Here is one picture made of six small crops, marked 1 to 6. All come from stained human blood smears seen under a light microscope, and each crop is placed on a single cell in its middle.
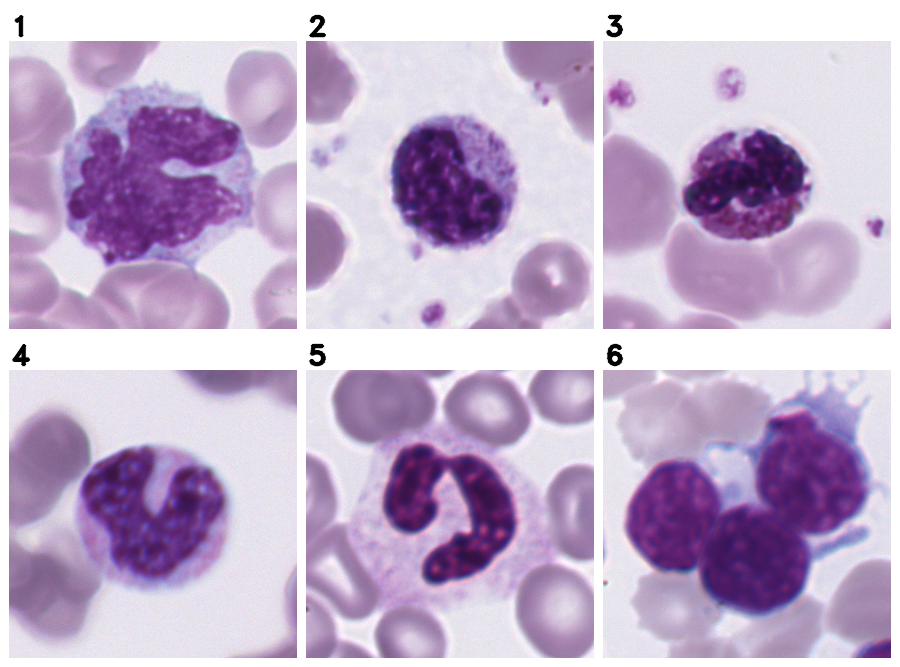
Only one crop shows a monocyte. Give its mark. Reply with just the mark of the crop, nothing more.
1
